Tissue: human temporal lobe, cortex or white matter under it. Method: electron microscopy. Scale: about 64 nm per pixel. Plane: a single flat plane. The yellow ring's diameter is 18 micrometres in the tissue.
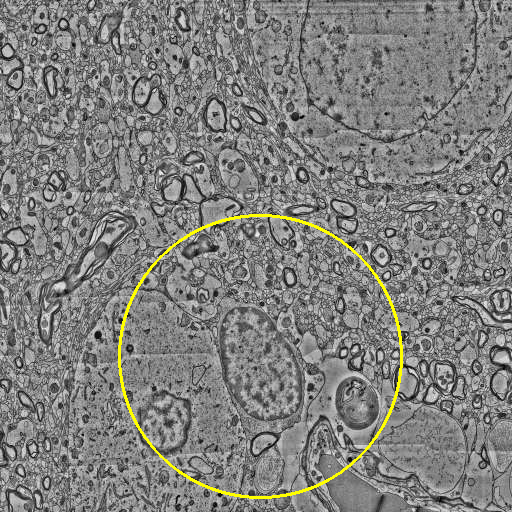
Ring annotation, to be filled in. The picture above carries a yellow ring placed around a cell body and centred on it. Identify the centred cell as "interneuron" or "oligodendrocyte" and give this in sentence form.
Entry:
The cell in the middle of the ring is an oligodendrocyte.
